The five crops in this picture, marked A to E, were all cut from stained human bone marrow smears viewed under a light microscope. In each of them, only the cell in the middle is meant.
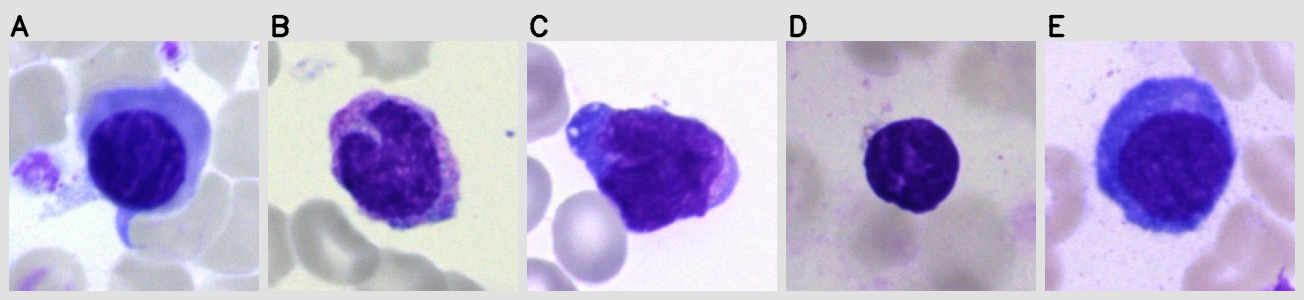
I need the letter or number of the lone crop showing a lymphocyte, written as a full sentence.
Crop D is where a lymphocyte is to be found.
